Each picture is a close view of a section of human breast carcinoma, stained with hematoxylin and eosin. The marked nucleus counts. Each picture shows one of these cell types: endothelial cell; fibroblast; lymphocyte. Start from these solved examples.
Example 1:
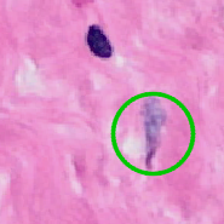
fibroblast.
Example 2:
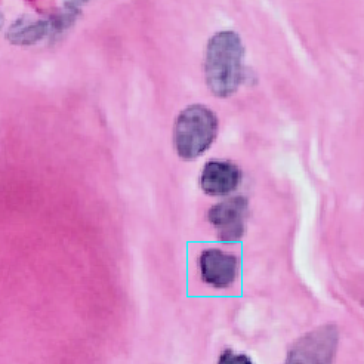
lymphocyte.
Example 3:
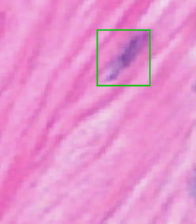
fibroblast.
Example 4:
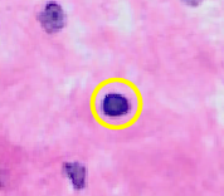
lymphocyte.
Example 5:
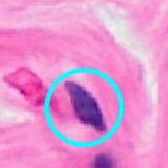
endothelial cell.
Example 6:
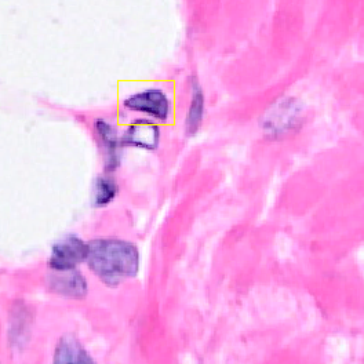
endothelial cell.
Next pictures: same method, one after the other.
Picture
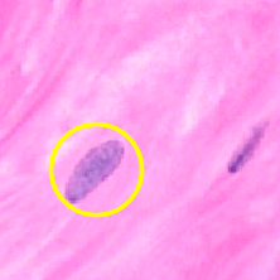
fibroblast.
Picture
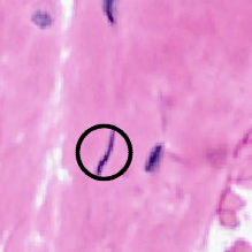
fibroblast.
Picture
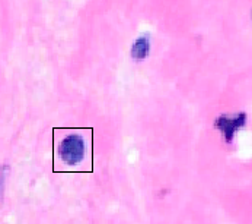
lymphocyte.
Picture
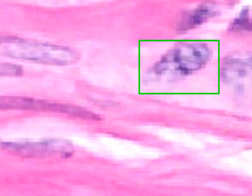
endothelial cell.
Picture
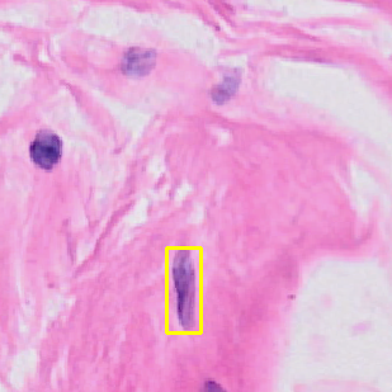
fibroblast.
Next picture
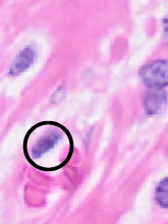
endothelial cell.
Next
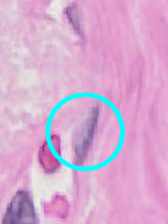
endothelial cell.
